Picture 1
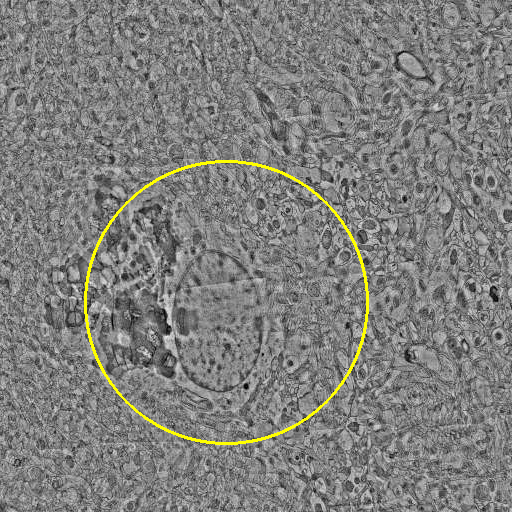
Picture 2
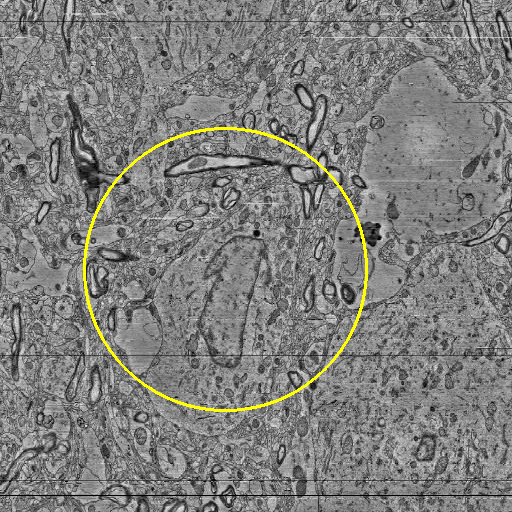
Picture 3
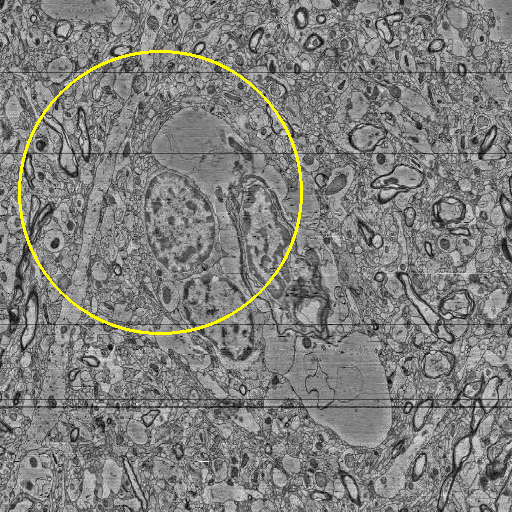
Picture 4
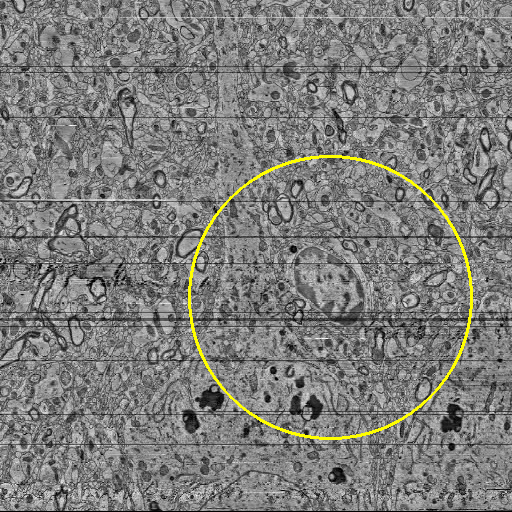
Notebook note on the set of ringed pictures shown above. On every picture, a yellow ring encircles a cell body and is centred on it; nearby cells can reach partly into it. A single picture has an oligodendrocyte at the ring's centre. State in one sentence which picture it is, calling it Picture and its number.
Picture 3 is the one whose ring is centred on the sought cell.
